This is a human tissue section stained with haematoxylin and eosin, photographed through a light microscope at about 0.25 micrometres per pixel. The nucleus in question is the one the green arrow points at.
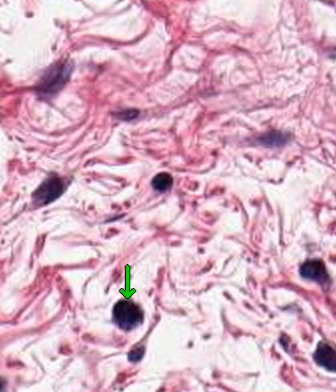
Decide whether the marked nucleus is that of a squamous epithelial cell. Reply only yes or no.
no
